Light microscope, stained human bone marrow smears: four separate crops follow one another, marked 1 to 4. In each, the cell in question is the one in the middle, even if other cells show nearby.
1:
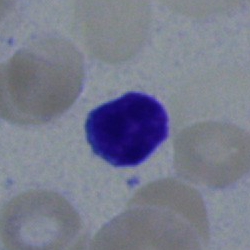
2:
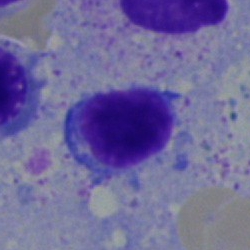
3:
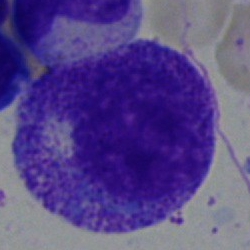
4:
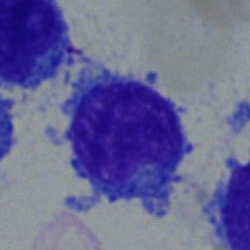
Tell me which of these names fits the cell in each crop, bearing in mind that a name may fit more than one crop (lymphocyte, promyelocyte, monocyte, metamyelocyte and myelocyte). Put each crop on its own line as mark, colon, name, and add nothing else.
1: lymphocyte
2: lymphocyte
3: promyelocyte
4: lymphocyte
